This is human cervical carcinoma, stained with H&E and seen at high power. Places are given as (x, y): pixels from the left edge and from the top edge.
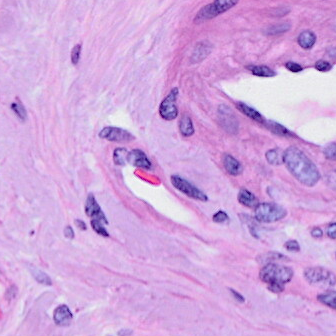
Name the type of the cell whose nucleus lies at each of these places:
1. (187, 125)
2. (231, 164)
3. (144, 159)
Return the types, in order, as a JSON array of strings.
["smooth muscle cell", "smooth muscle cell", "endothelial cell"]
